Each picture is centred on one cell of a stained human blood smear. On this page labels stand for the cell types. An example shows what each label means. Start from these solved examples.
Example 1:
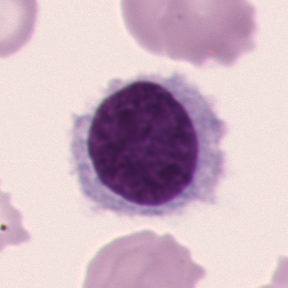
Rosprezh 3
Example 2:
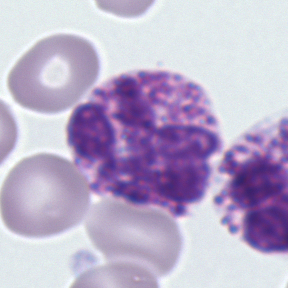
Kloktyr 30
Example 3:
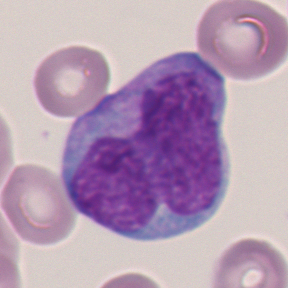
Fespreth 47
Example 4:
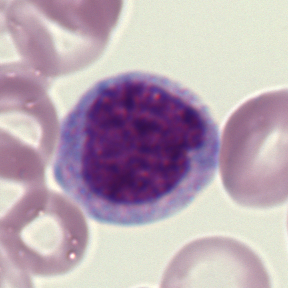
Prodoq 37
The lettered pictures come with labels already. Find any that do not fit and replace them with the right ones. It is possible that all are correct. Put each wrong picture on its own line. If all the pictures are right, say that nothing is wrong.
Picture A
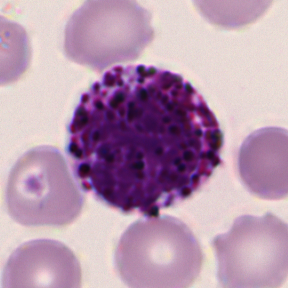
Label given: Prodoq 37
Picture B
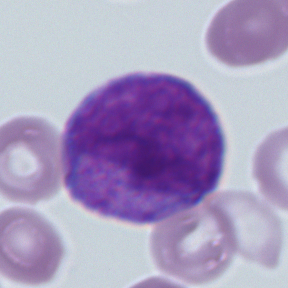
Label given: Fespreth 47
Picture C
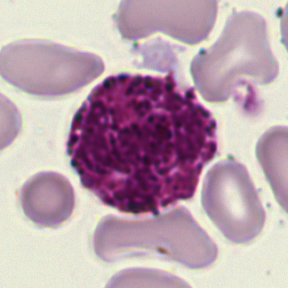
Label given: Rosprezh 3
A: not Prodoq 37 but Kloktyr 30
C: not Rosprezh 3 but Kloktyr 30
